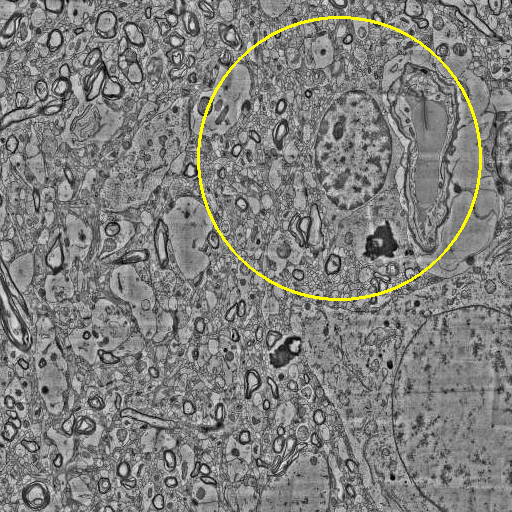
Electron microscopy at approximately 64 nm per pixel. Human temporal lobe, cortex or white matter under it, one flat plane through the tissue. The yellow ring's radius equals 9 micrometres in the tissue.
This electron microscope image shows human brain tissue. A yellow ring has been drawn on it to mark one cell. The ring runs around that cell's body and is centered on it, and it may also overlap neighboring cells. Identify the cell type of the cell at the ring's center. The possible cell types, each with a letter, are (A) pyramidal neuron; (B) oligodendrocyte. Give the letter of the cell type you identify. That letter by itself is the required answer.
B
